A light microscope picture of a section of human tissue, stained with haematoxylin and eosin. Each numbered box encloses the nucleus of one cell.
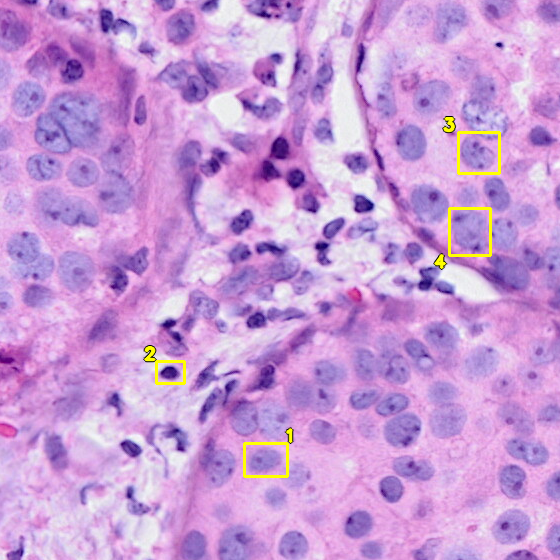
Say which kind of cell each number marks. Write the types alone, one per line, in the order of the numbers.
carcinoma cell
lymphocyte
carcinoma cell
carcinoma cell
